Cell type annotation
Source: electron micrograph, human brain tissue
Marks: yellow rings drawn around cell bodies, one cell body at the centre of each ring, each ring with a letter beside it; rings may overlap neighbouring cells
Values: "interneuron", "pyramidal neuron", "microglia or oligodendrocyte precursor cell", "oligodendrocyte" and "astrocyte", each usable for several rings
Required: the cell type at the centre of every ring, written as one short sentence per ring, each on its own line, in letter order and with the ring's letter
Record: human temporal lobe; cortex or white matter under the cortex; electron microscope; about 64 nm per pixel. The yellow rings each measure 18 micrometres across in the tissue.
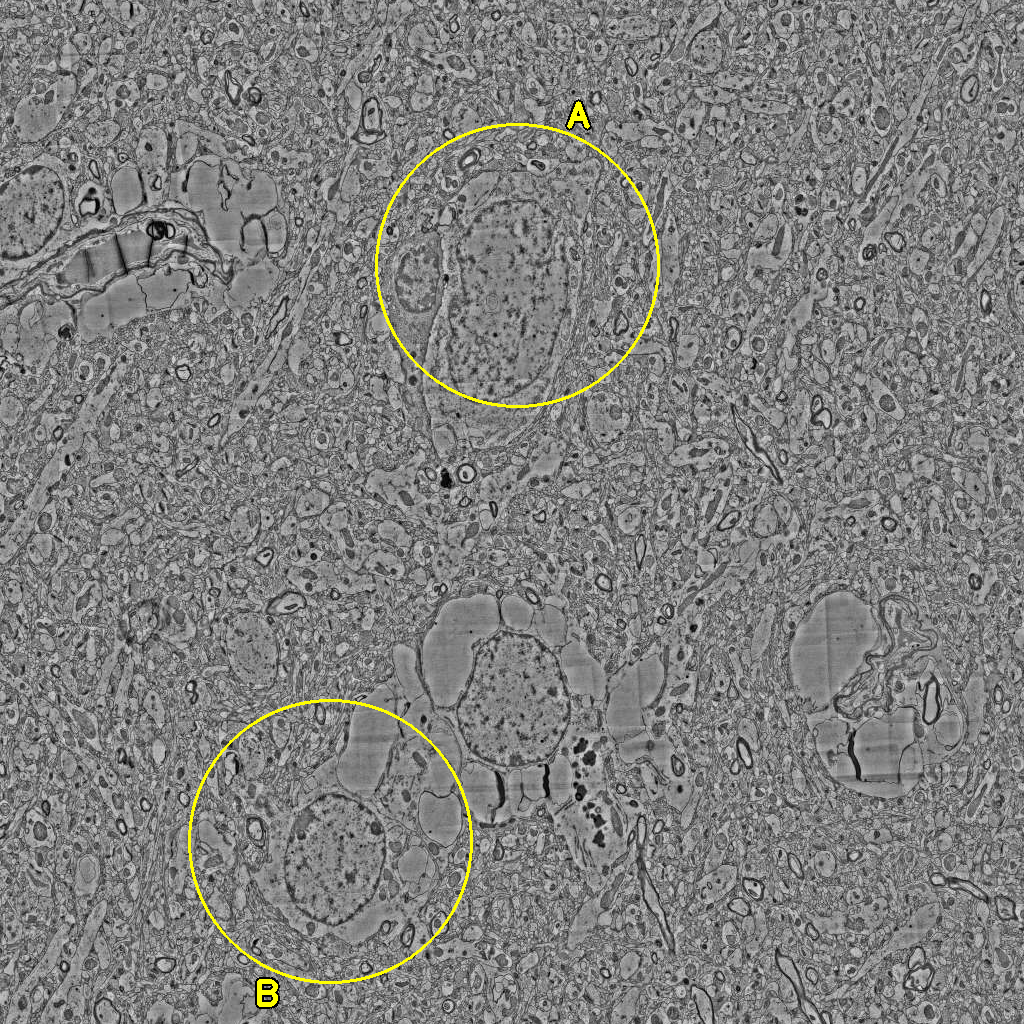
Ring A is annotated as an interneuron.
Ring B is annotated as an astrocyte.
